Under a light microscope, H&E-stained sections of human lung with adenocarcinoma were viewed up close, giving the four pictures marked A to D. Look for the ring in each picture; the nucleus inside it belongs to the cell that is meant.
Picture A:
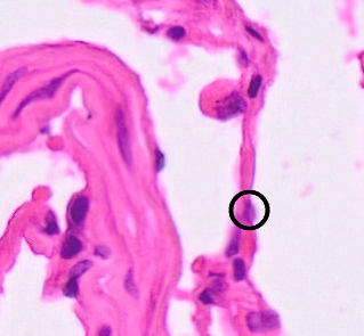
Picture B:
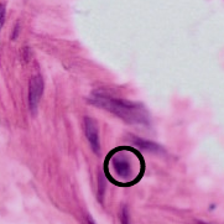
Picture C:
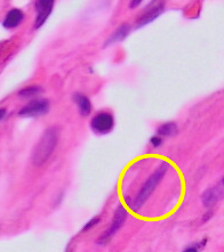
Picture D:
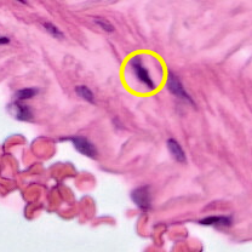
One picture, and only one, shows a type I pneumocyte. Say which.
A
